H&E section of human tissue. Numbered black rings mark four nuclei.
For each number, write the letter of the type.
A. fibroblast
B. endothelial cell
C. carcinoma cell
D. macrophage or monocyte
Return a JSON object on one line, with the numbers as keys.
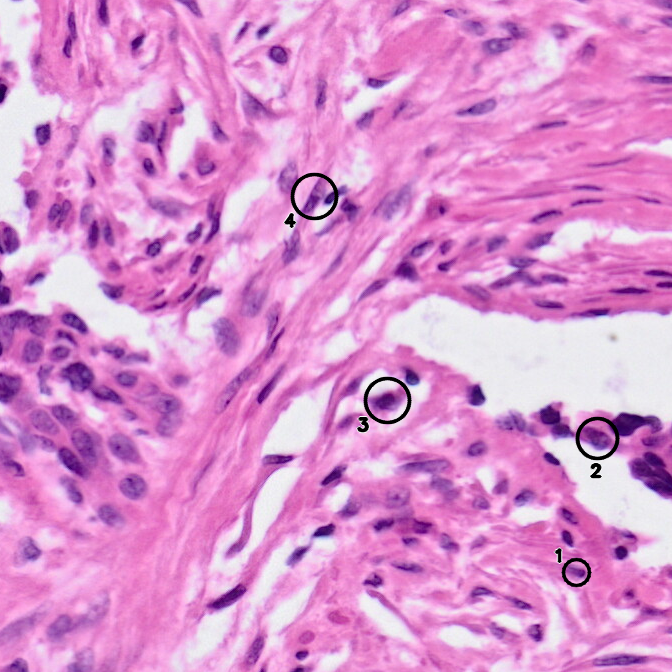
{"1": "A", "2": "C", "3": "A", "4": "A"}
